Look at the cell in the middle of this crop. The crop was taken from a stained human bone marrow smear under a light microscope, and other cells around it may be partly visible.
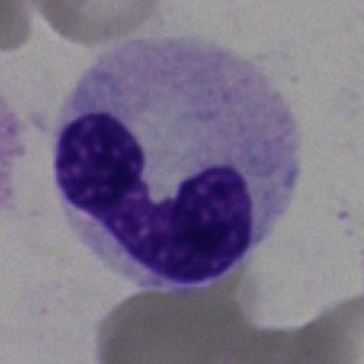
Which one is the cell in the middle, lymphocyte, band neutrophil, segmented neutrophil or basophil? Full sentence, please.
At the crop's centre, the cell is a band neutrophil.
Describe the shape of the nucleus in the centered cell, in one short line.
The nuclear material is gathered into one compact round, oval or kidney-shaped mass.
